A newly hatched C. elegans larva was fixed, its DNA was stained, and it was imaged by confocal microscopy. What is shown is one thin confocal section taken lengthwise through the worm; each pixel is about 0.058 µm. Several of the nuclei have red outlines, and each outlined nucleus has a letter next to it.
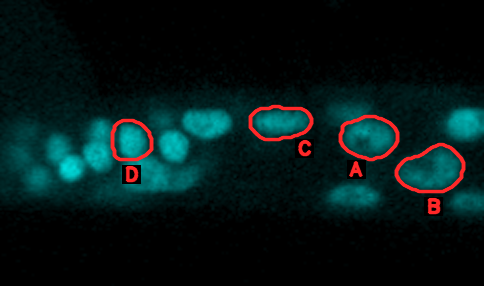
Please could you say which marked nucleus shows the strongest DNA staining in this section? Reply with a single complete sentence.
Nucleus D shows the strongest staining.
